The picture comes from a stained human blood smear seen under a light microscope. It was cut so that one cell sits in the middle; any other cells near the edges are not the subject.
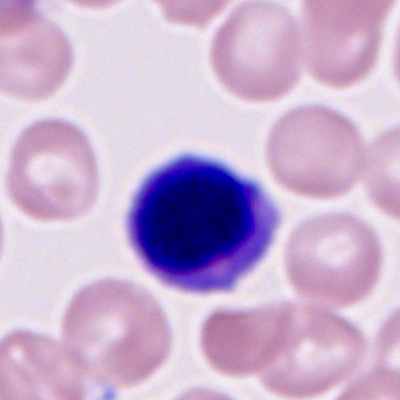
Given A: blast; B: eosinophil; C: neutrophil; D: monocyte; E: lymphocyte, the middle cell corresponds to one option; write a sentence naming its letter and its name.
That middle cell is a lymphocyte, and option E is therefore correct.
